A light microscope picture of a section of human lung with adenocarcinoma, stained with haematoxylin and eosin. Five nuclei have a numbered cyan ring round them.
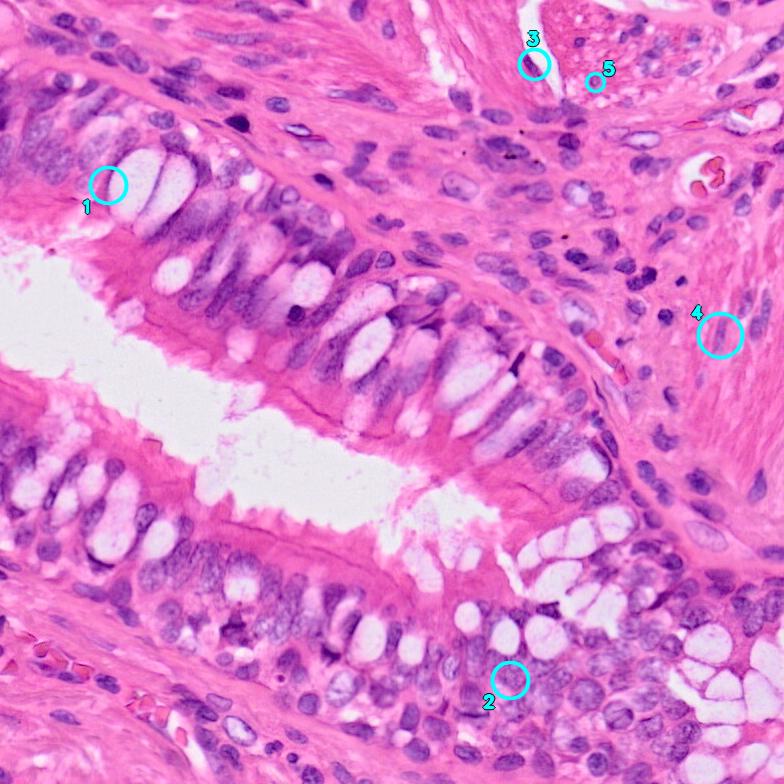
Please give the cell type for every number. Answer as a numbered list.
1. ciliated epithelial cell
2. ciliated epithelial cell
3. smooth muscle cell or pericyte
4. smooth muscle cell or pericyte
5. smooth muscle cell or pericyte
